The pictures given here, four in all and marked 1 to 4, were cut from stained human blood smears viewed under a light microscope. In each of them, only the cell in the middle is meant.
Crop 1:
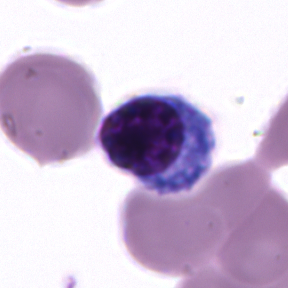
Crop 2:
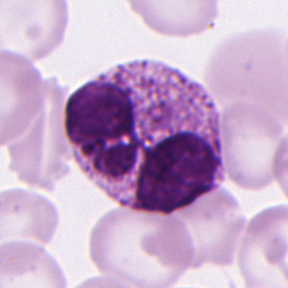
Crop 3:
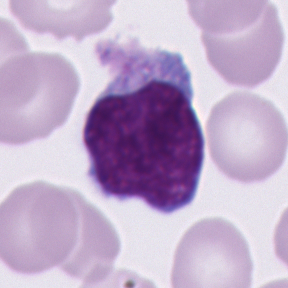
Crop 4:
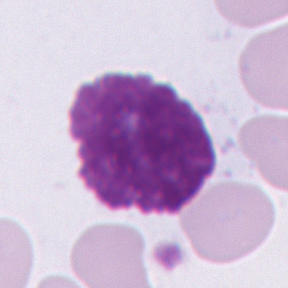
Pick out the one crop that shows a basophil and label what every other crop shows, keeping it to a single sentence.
On inspection, crop 2 shows a basophil, while crop 1 is a plasma cell, crop 3 is a typical lymphocyte and crop 4 is a smudge cell.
